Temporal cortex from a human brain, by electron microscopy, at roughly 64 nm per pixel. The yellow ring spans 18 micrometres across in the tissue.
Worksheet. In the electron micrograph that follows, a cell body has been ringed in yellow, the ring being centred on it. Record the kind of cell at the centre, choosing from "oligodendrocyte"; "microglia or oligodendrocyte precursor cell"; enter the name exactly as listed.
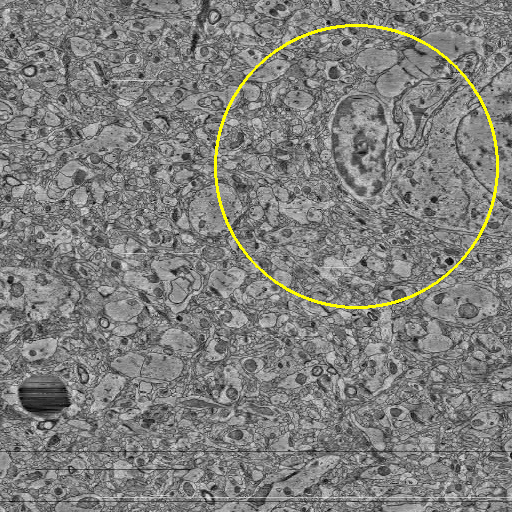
microglia or oligodendrocyte precursor cell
